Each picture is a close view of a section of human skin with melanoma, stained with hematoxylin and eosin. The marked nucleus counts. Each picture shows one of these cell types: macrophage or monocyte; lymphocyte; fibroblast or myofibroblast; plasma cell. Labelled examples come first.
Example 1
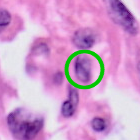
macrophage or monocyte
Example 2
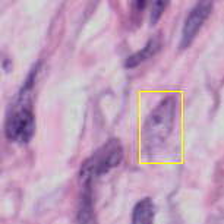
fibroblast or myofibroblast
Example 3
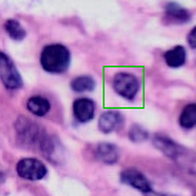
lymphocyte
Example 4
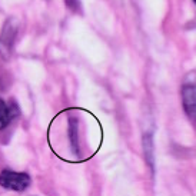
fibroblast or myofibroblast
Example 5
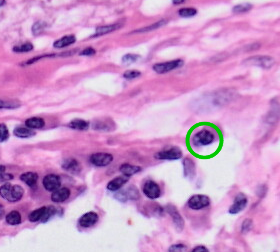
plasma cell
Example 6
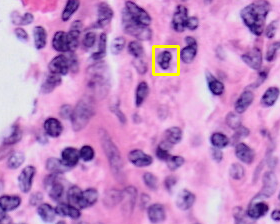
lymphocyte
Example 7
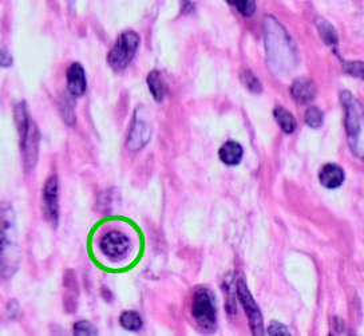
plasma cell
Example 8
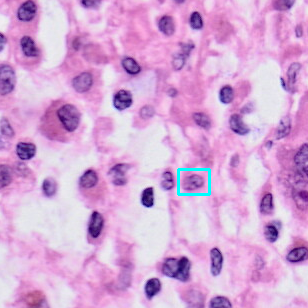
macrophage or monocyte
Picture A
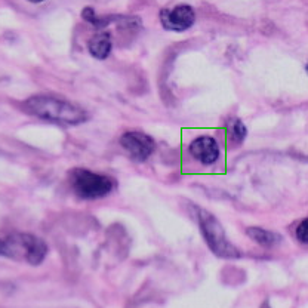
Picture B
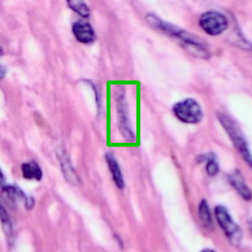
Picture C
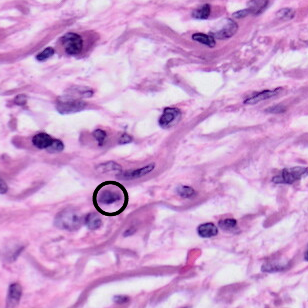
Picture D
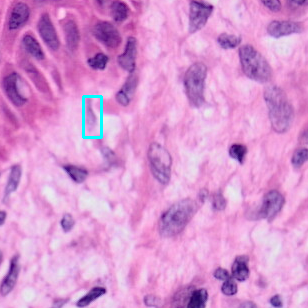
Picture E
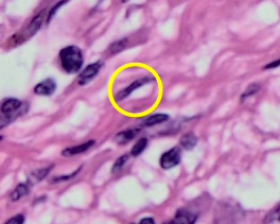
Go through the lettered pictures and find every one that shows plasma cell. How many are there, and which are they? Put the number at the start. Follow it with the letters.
Count: 2 (A, C)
